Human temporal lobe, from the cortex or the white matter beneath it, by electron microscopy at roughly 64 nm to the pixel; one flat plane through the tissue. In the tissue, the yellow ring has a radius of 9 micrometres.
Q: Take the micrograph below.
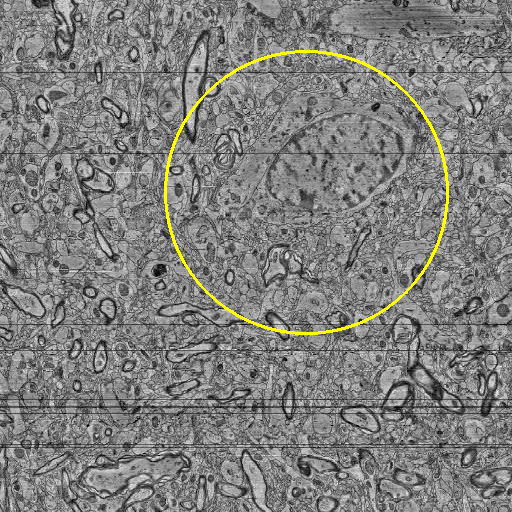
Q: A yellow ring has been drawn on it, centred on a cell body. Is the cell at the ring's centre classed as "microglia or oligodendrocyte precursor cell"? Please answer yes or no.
Yes, that is its kind.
